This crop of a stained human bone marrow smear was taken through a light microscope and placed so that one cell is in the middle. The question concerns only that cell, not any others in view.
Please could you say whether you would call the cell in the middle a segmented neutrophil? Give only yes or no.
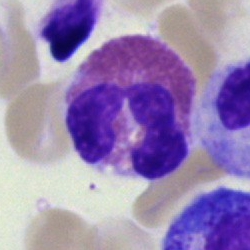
no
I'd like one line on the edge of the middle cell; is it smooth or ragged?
Expected answer: a smooth cell outline without projections of any sort.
